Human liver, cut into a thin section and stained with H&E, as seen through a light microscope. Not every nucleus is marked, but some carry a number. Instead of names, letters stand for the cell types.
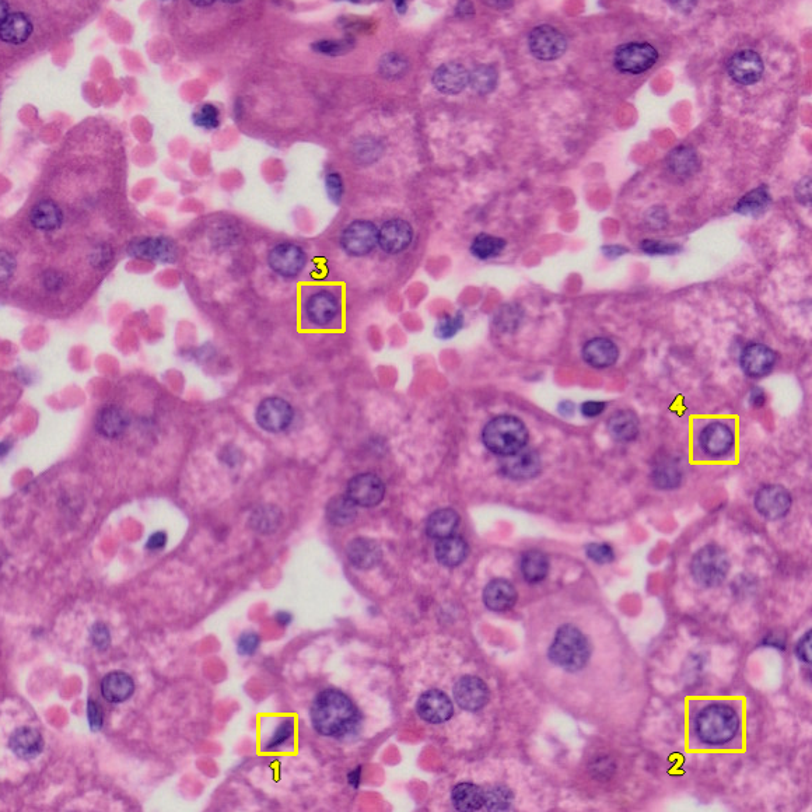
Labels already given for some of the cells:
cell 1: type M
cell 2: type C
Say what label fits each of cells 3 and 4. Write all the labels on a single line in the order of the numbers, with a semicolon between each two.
type C; type C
